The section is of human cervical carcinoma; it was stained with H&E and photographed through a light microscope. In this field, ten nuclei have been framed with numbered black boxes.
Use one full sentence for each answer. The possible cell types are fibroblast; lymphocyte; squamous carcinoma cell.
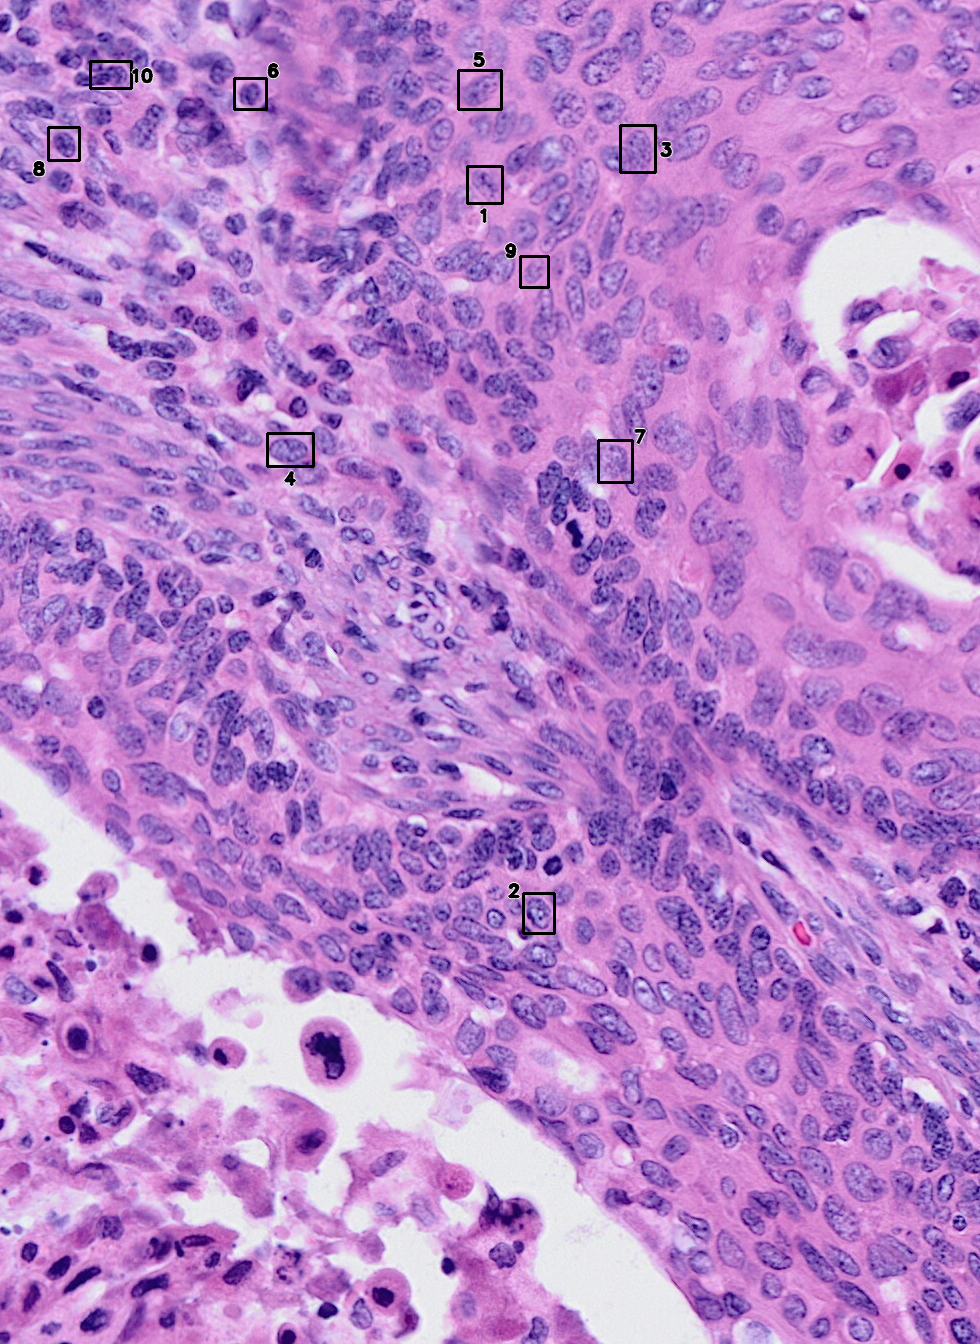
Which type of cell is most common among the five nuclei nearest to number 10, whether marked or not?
Around number 10, most of the five nearest nuclei are those of lymphocytes.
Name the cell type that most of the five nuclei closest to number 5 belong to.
Most of the five nuclei nearest to number 5 are those of squamous carcinoma cells.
